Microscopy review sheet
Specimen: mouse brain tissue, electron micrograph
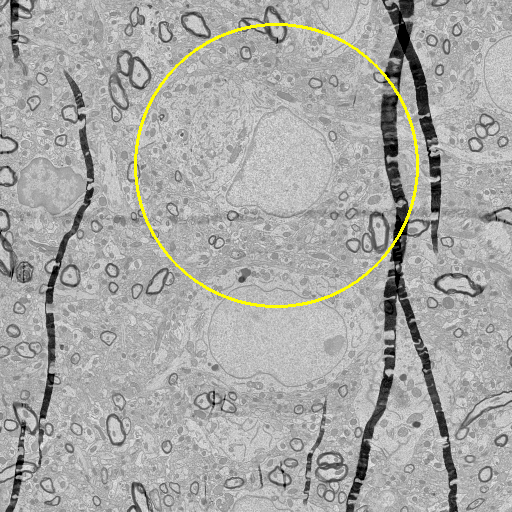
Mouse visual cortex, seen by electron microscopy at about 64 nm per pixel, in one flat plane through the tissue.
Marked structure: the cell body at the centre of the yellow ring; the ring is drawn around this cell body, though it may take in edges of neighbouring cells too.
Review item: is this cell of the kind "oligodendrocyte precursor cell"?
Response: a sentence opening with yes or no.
Yes, this cell is of that kind.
